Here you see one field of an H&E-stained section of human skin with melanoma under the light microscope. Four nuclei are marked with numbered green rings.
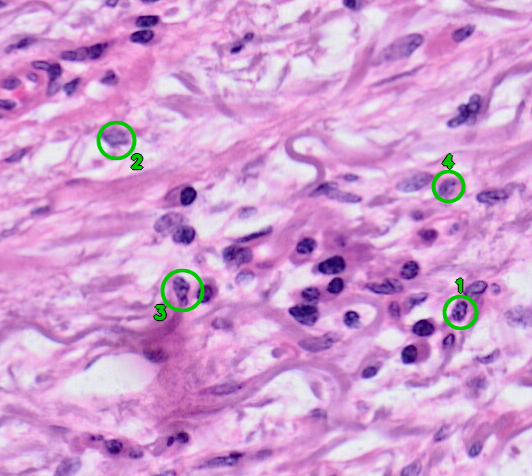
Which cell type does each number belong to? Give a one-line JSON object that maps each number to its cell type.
{"1": "plasma cell", "2": "fibroblast or myofibroblast", "3": "macrophage or monocyte", "4": "macrophage or monocyte"}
